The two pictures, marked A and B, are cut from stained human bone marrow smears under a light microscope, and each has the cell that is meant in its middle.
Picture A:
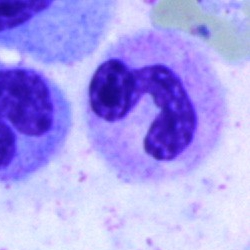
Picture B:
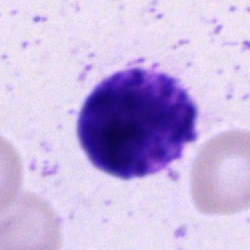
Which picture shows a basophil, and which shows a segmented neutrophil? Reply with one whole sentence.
Picture B shows a basophil, while picture A shows a segmented neutrophil.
